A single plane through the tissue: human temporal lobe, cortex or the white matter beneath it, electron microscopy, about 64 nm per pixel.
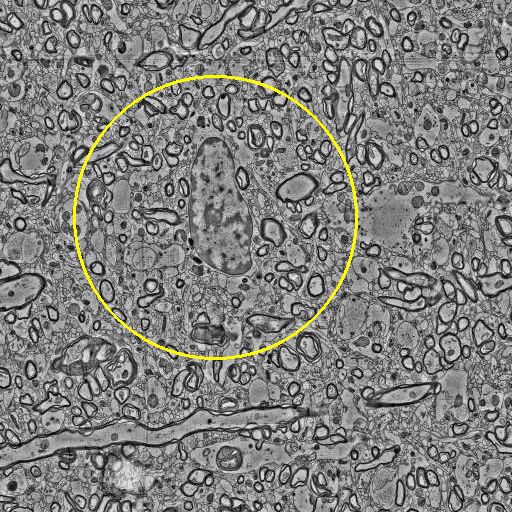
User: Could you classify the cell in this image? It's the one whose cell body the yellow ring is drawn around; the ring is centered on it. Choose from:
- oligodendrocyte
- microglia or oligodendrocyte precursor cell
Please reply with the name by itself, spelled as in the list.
microglia or oligodendrocyte precursor cell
